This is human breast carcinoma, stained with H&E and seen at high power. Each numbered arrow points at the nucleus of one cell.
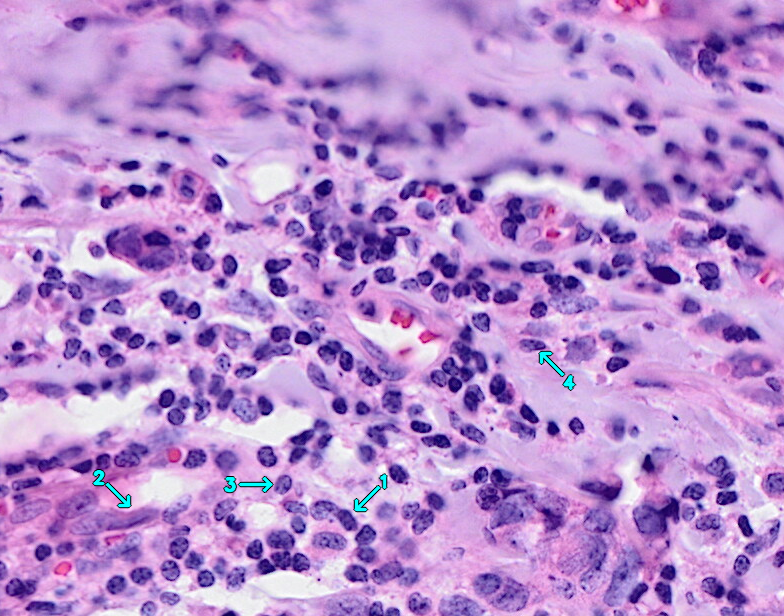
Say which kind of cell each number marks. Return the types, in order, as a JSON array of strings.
["lymphocyte", "endothelial cell", "lymphocyte", "lymphocyte"]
